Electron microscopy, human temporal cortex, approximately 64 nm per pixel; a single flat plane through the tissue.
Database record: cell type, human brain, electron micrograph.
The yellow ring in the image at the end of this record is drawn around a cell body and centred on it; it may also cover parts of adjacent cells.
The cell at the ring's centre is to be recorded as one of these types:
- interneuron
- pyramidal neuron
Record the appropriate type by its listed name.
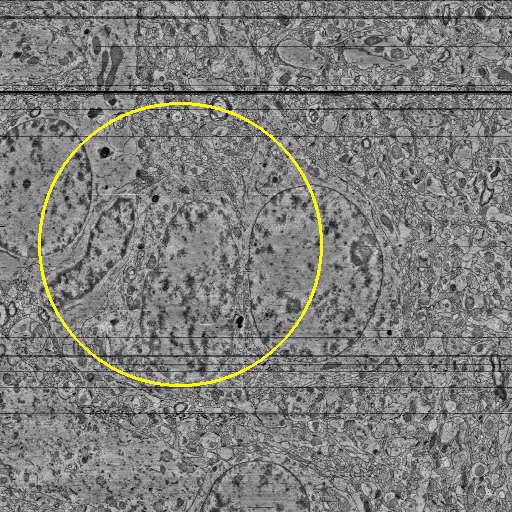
interneuron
